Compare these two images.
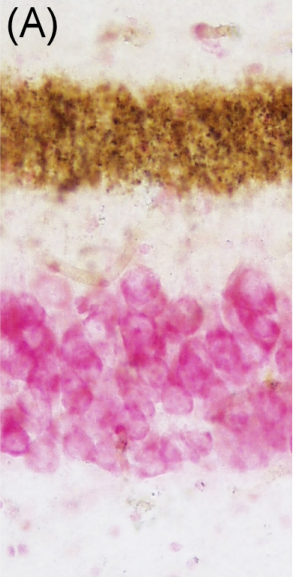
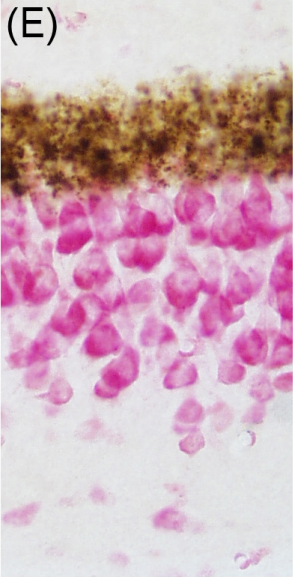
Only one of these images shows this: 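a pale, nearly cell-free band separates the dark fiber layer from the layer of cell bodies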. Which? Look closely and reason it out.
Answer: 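Second image: the dark brown band touches the pink cell bodies directly. First image: a wide pale band lies between the dark brown band and the pink cell bodies. That points to this answer: the first image.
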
